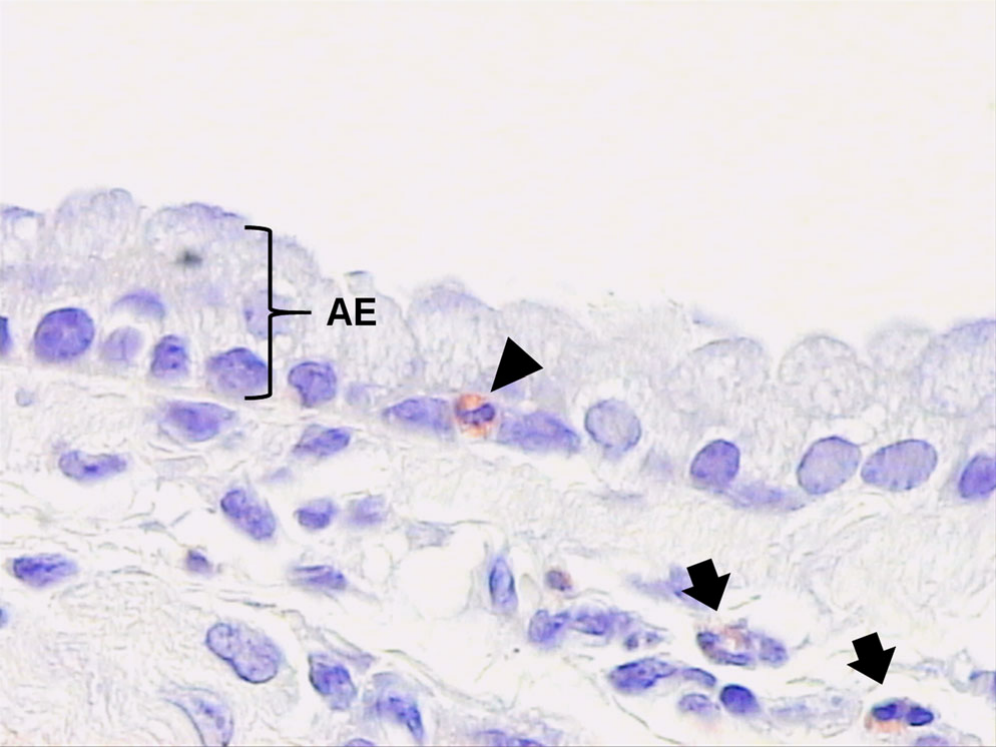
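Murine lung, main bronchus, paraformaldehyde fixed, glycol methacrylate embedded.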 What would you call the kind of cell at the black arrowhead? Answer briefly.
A: eosinophilic granulocyte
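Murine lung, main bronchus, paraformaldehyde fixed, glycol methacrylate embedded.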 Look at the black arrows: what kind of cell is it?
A: eosinophilic granulocytes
